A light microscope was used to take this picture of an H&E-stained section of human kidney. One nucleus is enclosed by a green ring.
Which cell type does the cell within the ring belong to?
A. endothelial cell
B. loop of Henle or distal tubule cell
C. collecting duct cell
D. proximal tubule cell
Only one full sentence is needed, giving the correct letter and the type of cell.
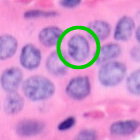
The correct identification, the cell within the ring as a collecting duct cell, is given by option C.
